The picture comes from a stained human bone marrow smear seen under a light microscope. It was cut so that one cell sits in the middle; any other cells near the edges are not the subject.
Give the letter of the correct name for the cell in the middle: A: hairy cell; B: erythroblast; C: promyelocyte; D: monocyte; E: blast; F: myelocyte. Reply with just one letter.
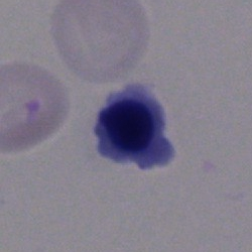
B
